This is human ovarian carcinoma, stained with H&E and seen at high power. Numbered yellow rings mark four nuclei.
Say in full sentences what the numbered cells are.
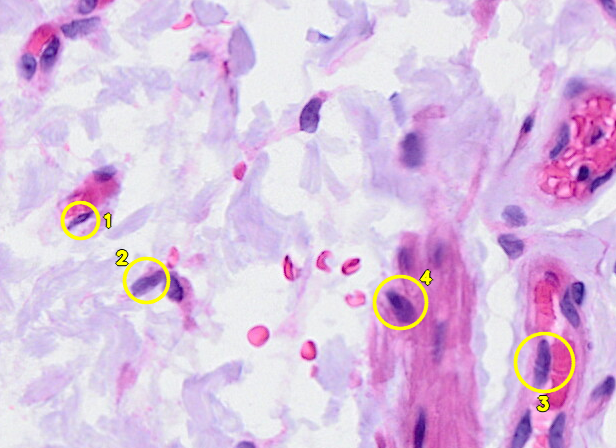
Cell 1 is an endothelial cell, cell 2 is a fibroblast, cell 3 is an endothelial cell and cell 4 is a smooth muscle cell.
